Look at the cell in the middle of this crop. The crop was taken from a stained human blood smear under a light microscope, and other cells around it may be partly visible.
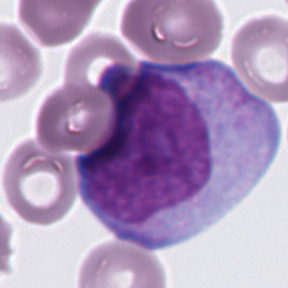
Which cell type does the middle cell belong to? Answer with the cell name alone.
atypical promyelocyte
